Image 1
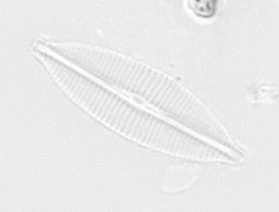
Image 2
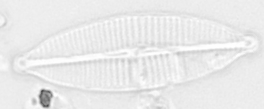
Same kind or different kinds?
Same: Craticula.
